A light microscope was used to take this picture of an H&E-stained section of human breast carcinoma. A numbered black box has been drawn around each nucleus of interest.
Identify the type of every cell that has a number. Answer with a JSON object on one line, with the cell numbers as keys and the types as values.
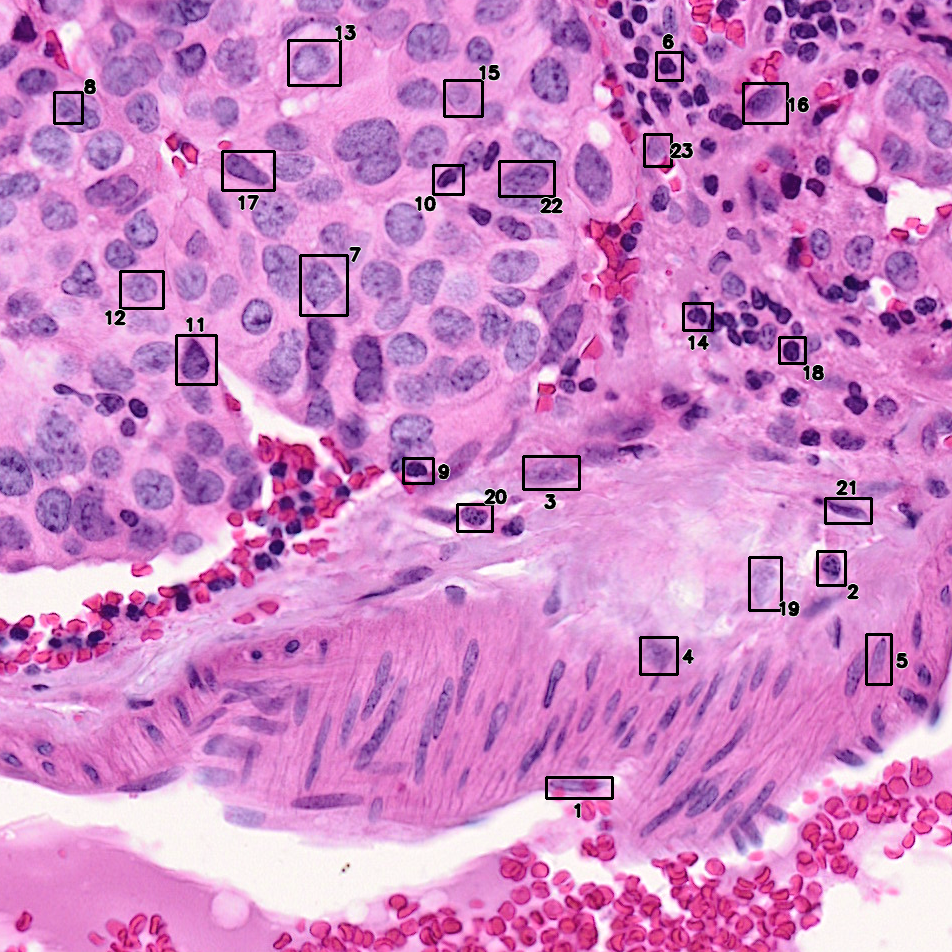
{"1": "endothelial cell", "2": "mast cell", "3": "fibroblast", "4": "fibroblast", "5": "endothelial cell", "6": "lymphocyte", "7": "carcinoma cell", "8": "carcinoma cell", "9": "lymphocyte", "10": "lymphocyte", "11": "carcinoma cell", "12": "carcinoma cell", "13": "carcinoma cell", "14": "lymphocyte", "15": "carcinoma cell", "16": "endothelial cell", "17": "carcinoma cell", "18": "lymphocyte", "19": "fibroblast", "20": "mast cell", "21": "fibroblast", "22": "carcinoma cell", "23": "endothelial cell"}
